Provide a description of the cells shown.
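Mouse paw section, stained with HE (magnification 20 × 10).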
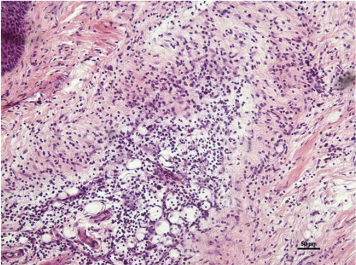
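Very many small round cells with dark purple nuclei fill the field. They lie scattered densely between the pink collagen fibres and gather into thicker sheets toward the lower left. Clear, rounded vacuoles of fat sit at the lower left among them. The fibrous pattern of the dermis is largely hidden by these cells, so the tissue looks heavily infiltrated. It contrasts with the sparse, orderly look of quiet connective tissue.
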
